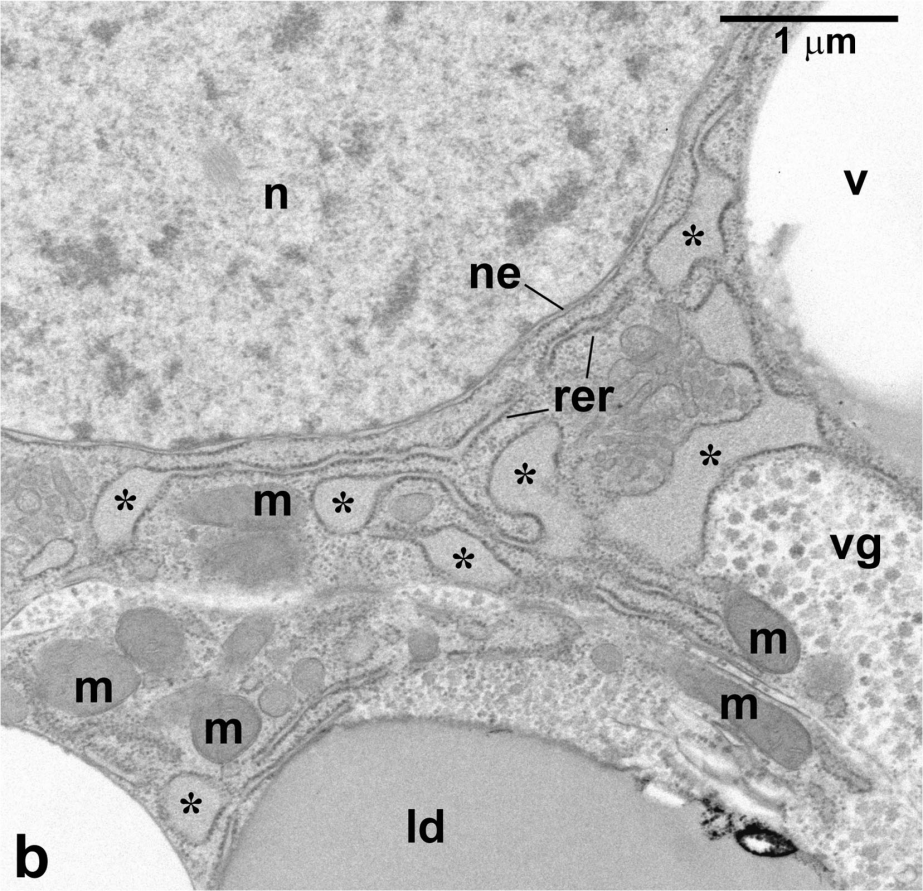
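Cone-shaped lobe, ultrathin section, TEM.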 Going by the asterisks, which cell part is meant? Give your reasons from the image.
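Distended cisternae. The asterisks sit in pale, swollen membrane-bound spaces. These spaces are bounded by membranes studded with dark ribosome dots. They are wider than the narrow membrane profiles next to the nucleus.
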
